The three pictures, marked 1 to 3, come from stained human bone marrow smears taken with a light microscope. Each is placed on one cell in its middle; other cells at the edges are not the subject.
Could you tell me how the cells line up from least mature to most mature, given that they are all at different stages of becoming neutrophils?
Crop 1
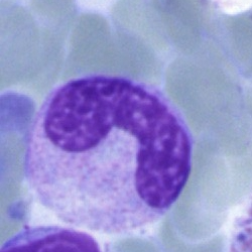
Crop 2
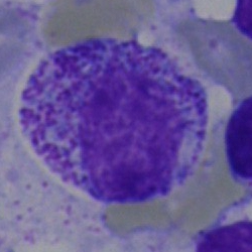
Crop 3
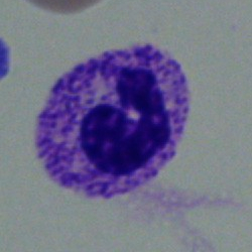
2, 1, 3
